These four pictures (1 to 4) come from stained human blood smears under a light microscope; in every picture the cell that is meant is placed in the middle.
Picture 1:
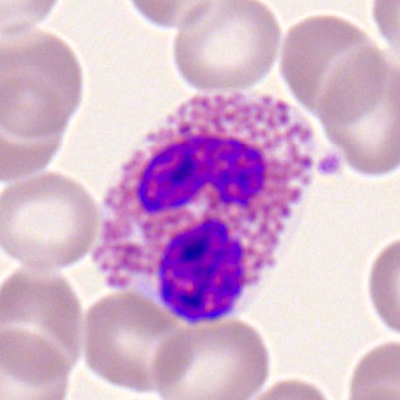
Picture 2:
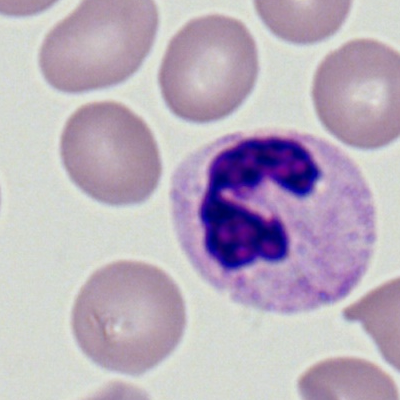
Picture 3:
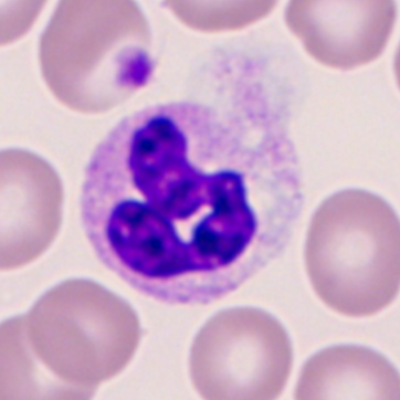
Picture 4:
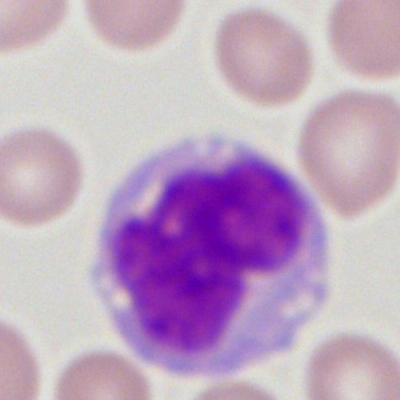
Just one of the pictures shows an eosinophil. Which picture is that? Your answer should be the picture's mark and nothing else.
1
